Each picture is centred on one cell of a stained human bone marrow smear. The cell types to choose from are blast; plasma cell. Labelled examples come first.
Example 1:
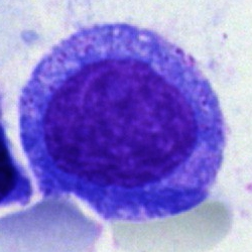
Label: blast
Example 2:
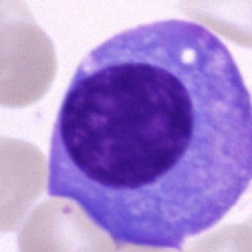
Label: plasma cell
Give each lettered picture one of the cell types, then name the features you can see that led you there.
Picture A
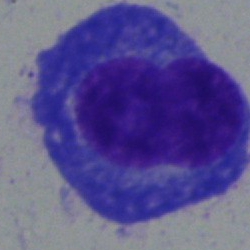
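Label: plasma cell. The cytoplasm is abundant and stains deep blue.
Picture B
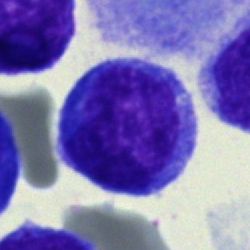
Label: blast. The nucleus fills almost the whole cell.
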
